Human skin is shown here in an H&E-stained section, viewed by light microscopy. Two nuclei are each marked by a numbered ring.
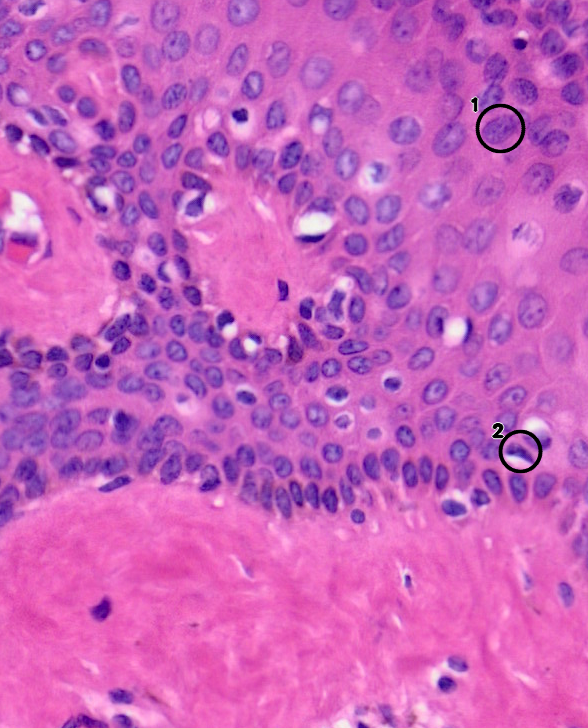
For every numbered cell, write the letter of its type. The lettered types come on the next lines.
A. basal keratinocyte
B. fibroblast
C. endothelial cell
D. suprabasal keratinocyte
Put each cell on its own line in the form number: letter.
1: D
2: A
